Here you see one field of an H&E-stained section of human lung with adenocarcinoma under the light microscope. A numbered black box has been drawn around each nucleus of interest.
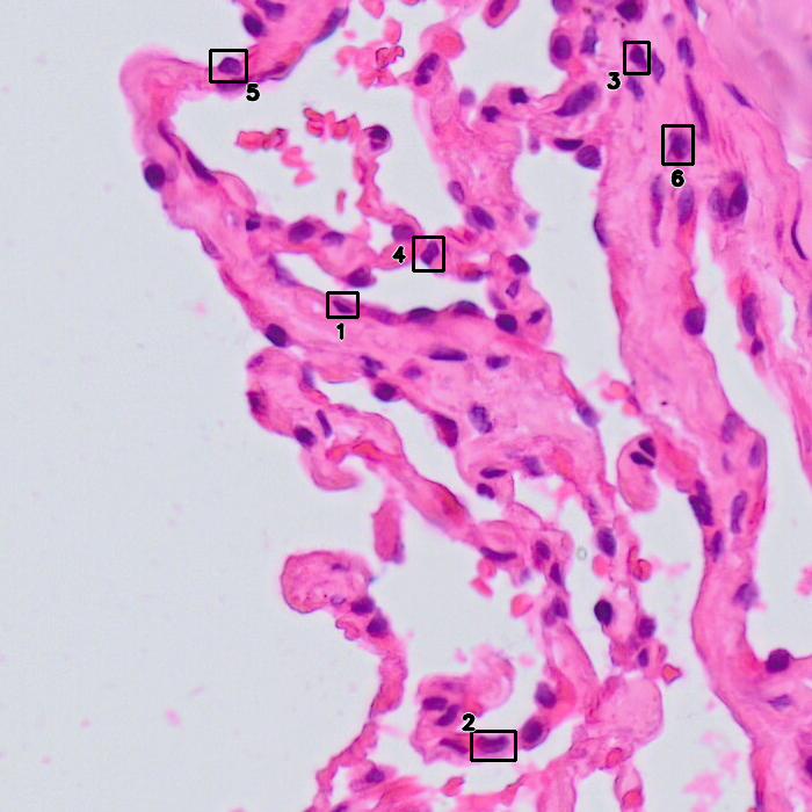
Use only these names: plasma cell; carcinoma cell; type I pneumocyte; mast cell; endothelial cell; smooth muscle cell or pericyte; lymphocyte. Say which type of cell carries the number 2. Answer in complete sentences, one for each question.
The cell bearing label 2 corresponds to a type I pneumocyte.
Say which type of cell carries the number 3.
The cell identified by number 3 is a plasma cell.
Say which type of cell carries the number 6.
The cell that bears the number 6 is a plasma cell.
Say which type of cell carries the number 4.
The numbered cell 4 is identified here as a type I pneumocyte.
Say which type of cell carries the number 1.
The identity of cell 1 is that of an endothelial cell.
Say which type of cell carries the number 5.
The cell that is numbered 5 is a type I pneumocyte.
